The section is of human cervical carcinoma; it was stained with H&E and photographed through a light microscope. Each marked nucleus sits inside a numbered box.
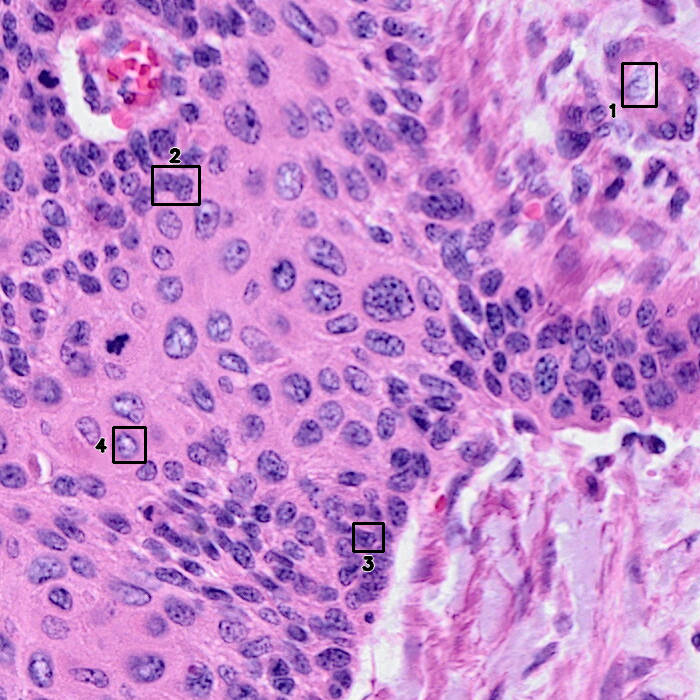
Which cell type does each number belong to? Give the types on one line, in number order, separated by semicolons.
endothelial cell; squamous carcinoma cell; squamous carcinoma cell; squamous carcinoma cell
